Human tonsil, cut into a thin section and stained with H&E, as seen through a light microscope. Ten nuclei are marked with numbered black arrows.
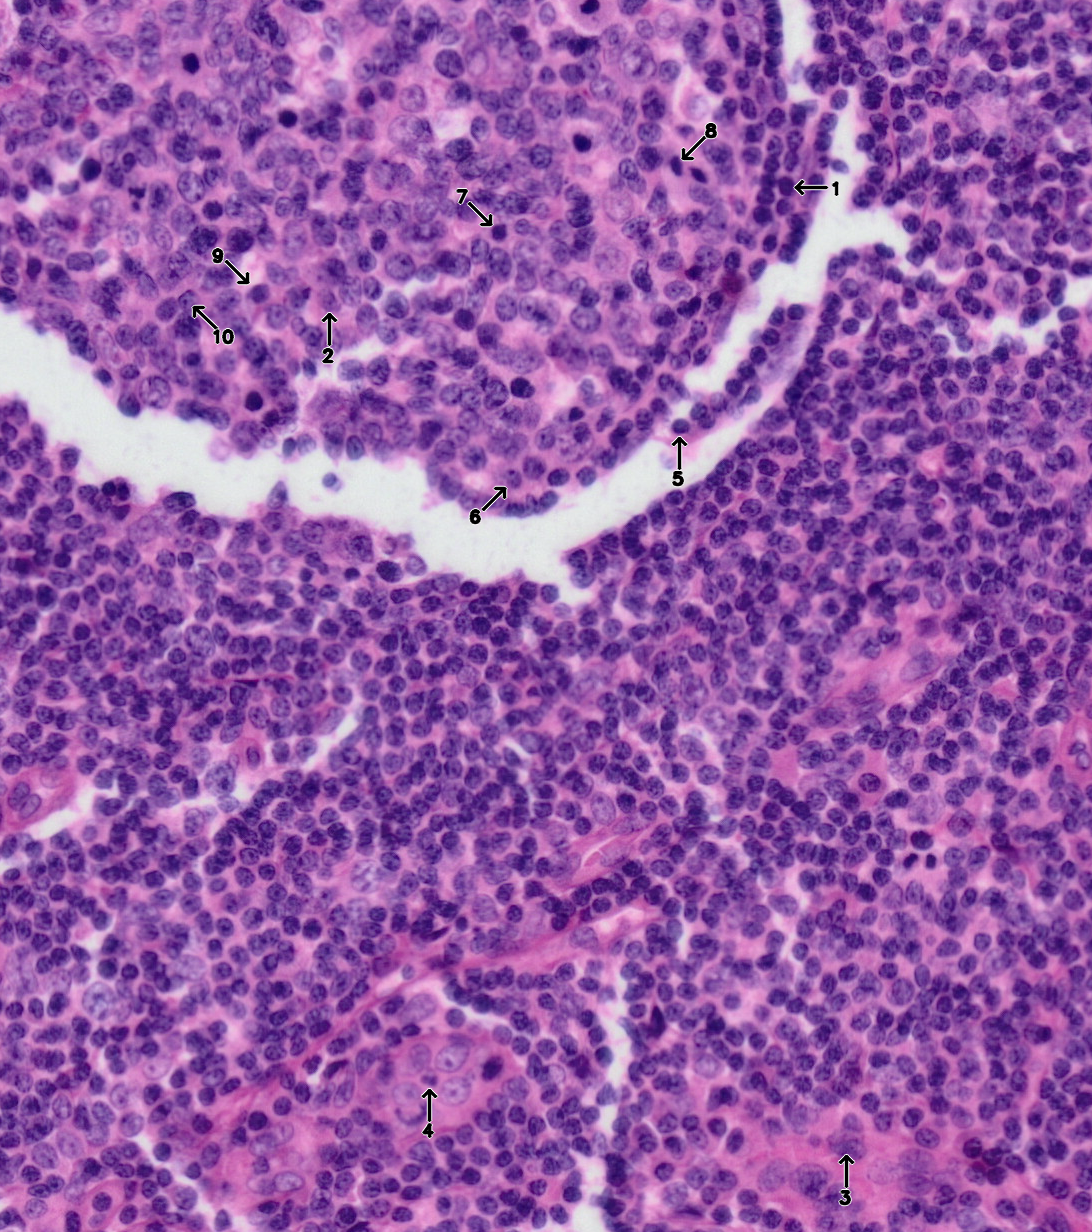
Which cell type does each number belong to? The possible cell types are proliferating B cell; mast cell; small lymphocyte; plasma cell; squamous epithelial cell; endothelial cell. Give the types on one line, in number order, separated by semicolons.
small lymphocyte; proliferating B cell; endothelial cell; endothelial cell; small lymphocyte; proliferating B cell; proliferating B cell; proliferating B cell; proliferating B cell; proliferating B cell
